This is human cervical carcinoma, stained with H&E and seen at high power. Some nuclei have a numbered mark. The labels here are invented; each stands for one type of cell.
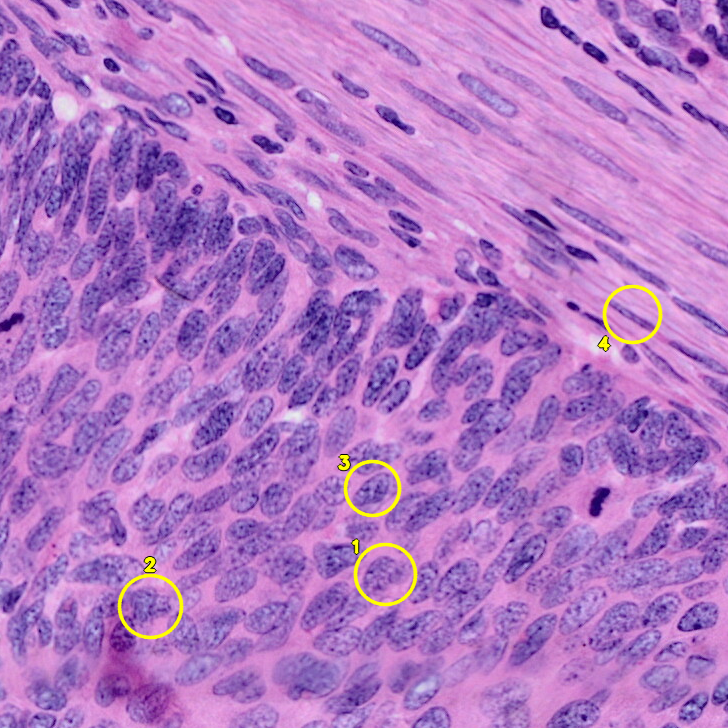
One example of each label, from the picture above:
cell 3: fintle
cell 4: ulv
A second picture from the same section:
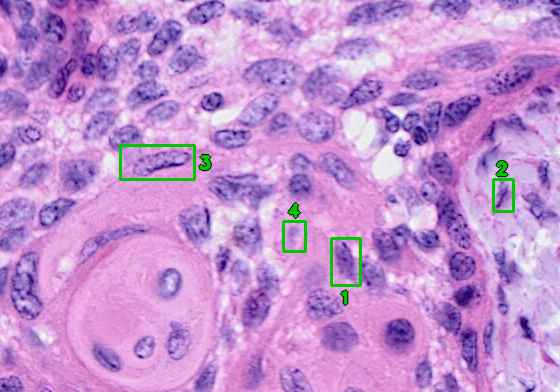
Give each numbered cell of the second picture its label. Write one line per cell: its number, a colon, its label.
1: fintle
2: ulv
3: fintle
4: fintle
